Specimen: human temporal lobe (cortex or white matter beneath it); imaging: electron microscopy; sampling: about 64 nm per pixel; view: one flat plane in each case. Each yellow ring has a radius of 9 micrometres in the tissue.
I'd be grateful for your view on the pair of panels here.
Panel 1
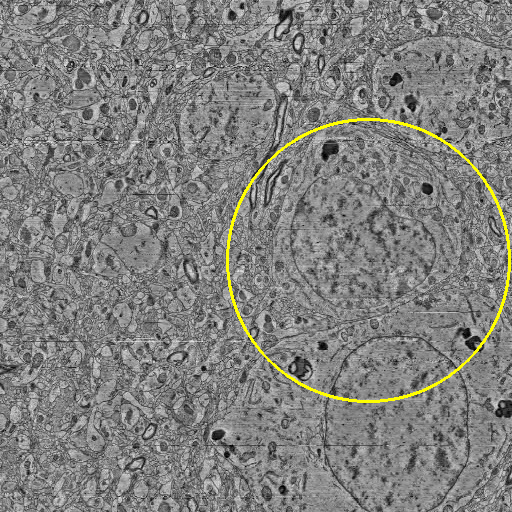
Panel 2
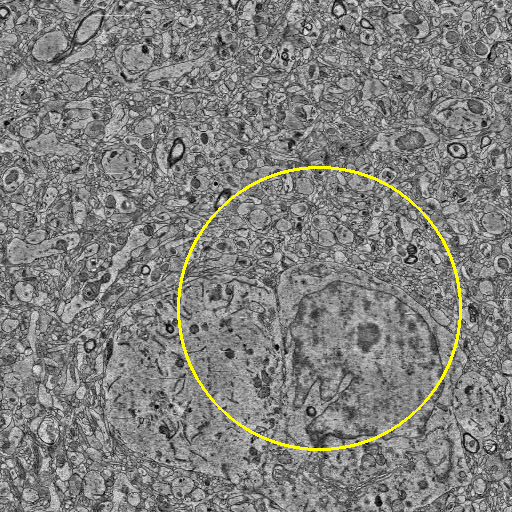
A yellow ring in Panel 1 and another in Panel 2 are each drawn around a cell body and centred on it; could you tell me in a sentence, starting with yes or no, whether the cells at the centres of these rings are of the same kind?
Yes, they are the same kind of cell.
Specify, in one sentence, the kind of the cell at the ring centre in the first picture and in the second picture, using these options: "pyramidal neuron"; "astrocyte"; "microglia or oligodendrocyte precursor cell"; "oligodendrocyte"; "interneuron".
In both pictures the ring is centred on an interneuron.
